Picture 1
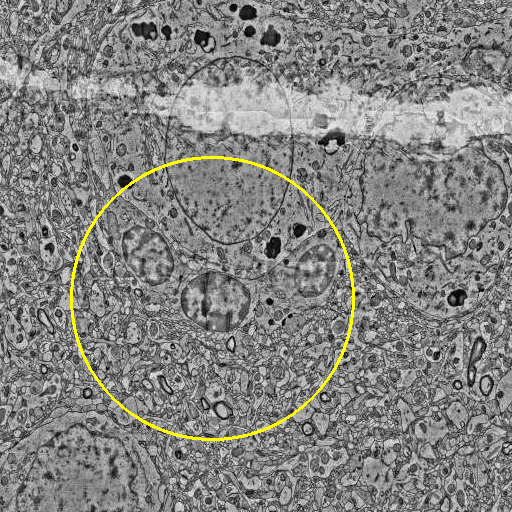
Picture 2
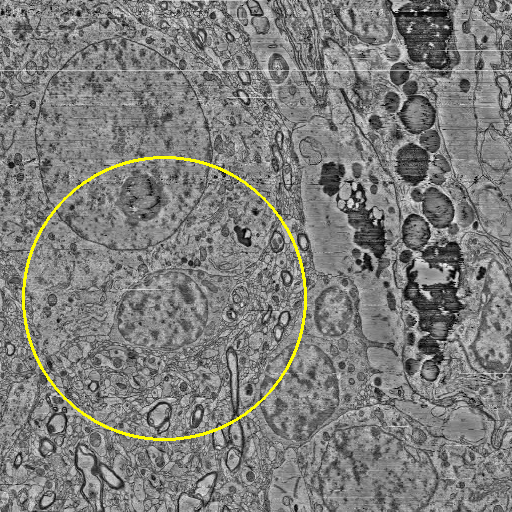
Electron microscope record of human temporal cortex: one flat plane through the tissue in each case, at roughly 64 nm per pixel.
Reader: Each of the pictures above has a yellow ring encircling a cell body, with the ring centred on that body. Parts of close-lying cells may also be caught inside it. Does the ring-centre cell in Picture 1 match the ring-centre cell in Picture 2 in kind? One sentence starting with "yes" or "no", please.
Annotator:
Yes, Picture 1 and Picture 2 show ring-centre cells of a single kind.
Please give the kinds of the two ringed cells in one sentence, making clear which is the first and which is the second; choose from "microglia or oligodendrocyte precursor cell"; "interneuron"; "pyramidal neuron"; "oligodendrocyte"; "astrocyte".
Both the first and the second picture show an oligodendrocyte in the ring.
